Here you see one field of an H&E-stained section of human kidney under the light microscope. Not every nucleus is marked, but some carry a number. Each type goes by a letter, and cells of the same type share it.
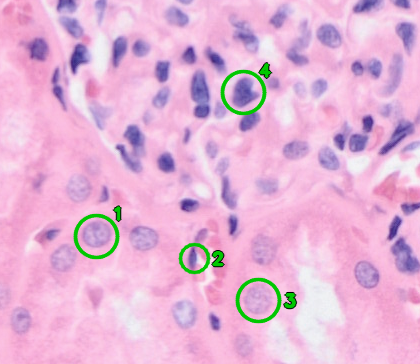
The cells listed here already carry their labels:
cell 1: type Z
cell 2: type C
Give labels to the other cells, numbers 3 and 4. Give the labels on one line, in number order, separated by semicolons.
type Z; type C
